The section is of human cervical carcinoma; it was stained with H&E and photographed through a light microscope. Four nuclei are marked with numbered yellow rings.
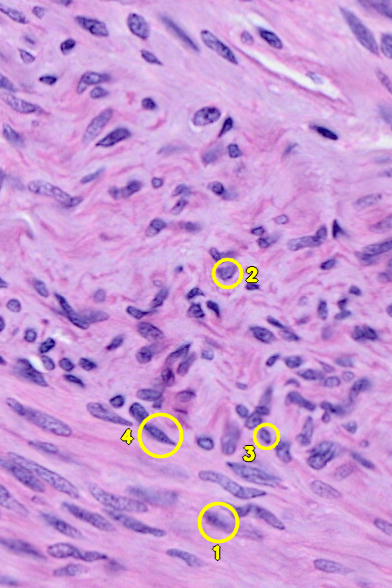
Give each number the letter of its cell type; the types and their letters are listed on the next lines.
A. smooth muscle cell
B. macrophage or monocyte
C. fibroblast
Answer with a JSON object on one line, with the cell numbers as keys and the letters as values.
{"1": "A", "2": "A", "3": "A", "4": "C"}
